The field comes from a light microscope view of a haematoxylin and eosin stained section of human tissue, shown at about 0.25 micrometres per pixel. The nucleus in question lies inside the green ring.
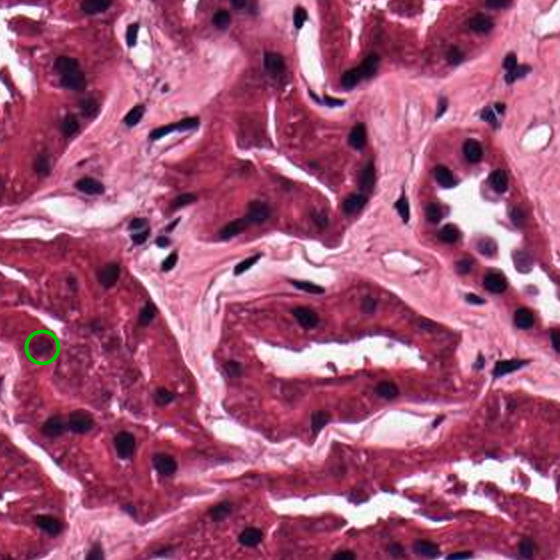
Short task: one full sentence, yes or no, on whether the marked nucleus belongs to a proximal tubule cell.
Yes, the marked nucleus is a part of a proximal tubule cell.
